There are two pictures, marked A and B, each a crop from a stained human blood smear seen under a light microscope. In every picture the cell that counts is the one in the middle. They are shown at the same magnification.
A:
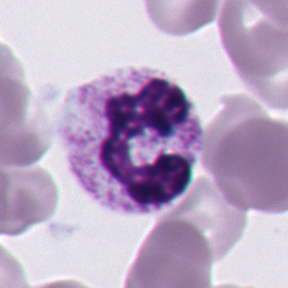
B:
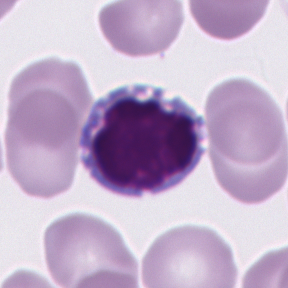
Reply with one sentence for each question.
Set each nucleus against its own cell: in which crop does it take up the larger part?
The nucleus fills more of the cell in crop B than in crop A.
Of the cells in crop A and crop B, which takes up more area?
Larger is the cell in crop A, at roughly 1.5 times the area of the other.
